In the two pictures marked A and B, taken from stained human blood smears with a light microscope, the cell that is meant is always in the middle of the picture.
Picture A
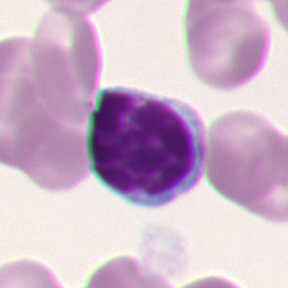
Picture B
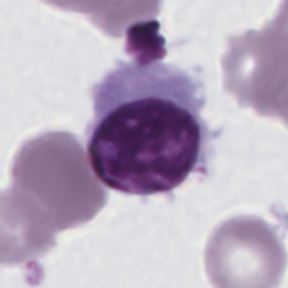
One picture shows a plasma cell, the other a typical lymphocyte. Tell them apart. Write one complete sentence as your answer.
It is picture A that shows a typical lymphocyte, and picture B that shows a plasma cell.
